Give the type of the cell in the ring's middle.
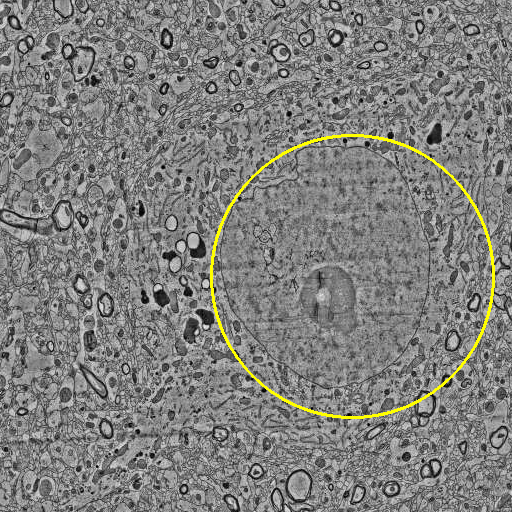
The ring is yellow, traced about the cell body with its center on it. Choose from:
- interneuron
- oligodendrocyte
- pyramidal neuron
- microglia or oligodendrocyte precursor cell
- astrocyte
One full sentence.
Here, a pyramidal neuron is the cell lying at the center of the yellow ring.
